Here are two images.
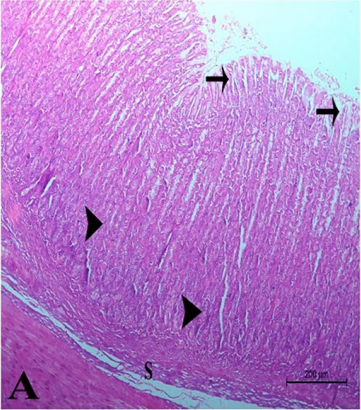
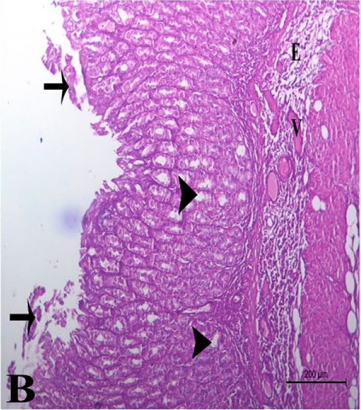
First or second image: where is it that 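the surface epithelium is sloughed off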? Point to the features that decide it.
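Second image: ragged fragments detach from a broken, irregular mucosal surface. On this evidence: the second image.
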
